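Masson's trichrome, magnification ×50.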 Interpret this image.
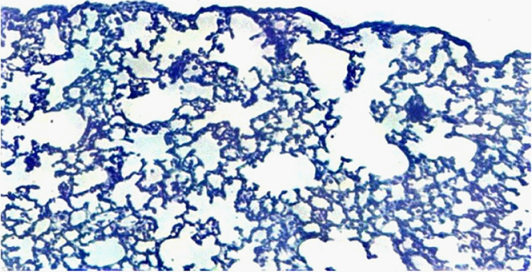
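This is a low-power view of lung tissue with a largely preserved open architecture. Thin blue-stained walls form a fine network around many small air spaces, with some larger open spaces scattered among them. A thin smooth border lines the tissue along its upper edge, and only small foci of thicker, denser tissue are seen.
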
